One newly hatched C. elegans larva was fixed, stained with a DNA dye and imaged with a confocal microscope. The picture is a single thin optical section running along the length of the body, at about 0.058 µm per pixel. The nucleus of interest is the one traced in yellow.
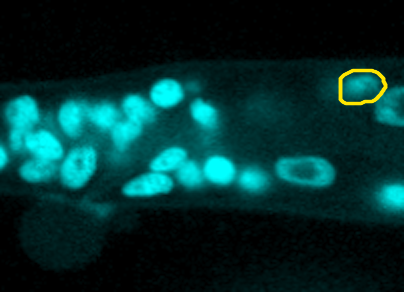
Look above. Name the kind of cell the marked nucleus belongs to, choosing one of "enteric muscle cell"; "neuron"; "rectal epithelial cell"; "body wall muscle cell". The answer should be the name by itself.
body wall muscle cell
